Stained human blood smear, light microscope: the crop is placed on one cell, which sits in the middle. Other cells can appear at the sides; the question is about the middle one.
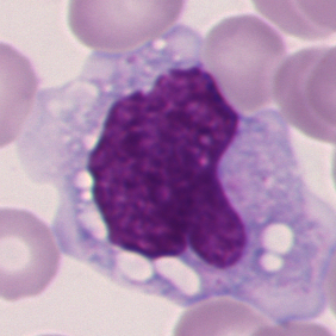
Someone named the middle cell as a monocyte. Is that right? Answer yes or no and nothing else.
yes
